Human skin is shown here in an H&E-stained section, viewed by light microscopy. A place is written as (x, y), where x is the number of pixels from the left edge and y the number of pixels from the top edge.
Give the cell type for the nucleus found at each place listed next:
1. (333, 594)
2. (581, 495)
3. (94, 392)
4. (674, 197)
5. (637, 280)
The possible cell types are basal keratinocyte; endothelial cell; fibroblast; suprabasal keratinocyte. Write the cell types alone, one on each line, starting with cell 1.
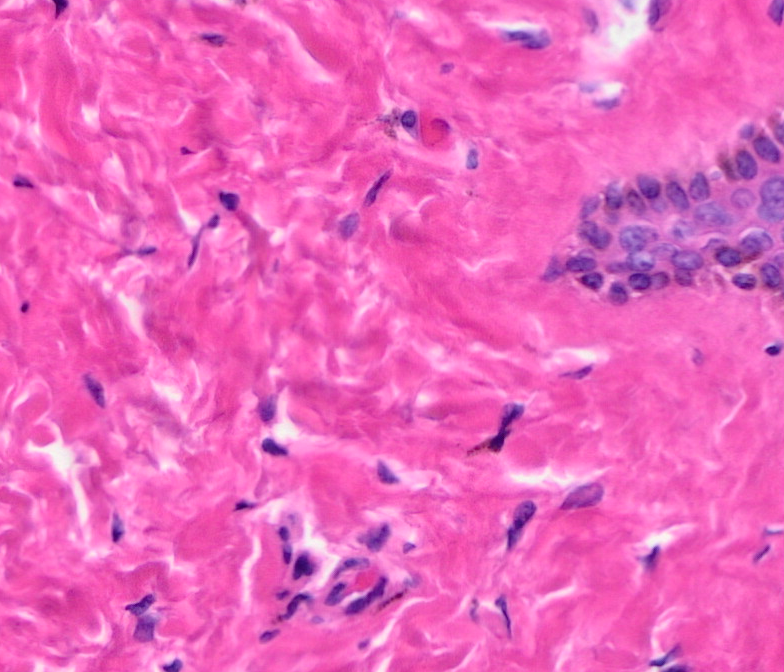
endothelial cell
fibroblast
fibroblast
basal keratinocyte
basal keratinocyte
